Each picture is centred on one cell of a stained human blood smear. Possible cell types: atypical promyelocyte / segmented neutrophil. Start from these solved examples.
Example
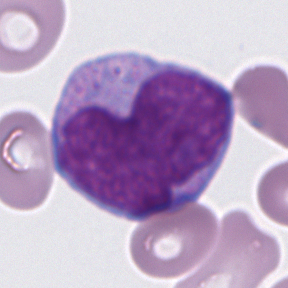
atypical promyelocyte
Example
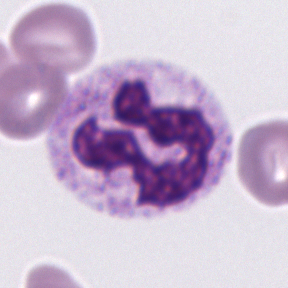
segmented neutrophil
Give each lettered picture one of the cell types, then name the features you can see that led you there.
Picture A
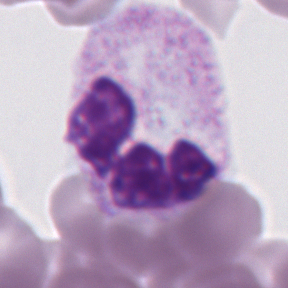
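segmented neutrophil. Evidence: The cytoplasm is abundant and pale pinkish-lilac.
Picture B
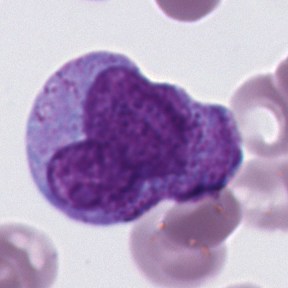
atypical promyelocyte. Evidence: The nucleus fills most of the cell, and the widest band of cytoplasm lies on the left side.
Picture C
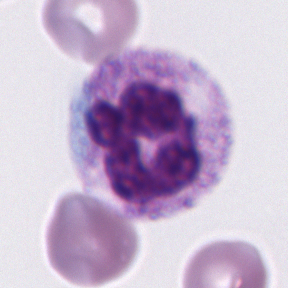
segmented neutrophil. Evidence: Abundant pale pinkish-lilac cytoplasm surrounds the nucleus on all sides.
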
